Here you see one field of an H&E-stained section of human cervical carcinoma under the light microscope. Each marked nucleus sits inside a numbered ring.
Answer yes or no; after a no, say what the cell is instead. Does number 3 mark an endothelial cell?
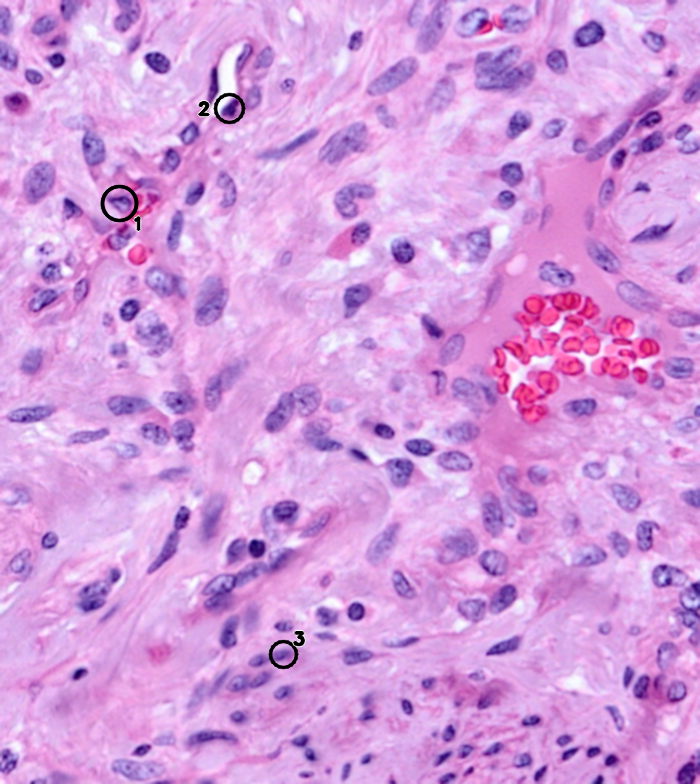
No, it is a smooth muscle cell.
